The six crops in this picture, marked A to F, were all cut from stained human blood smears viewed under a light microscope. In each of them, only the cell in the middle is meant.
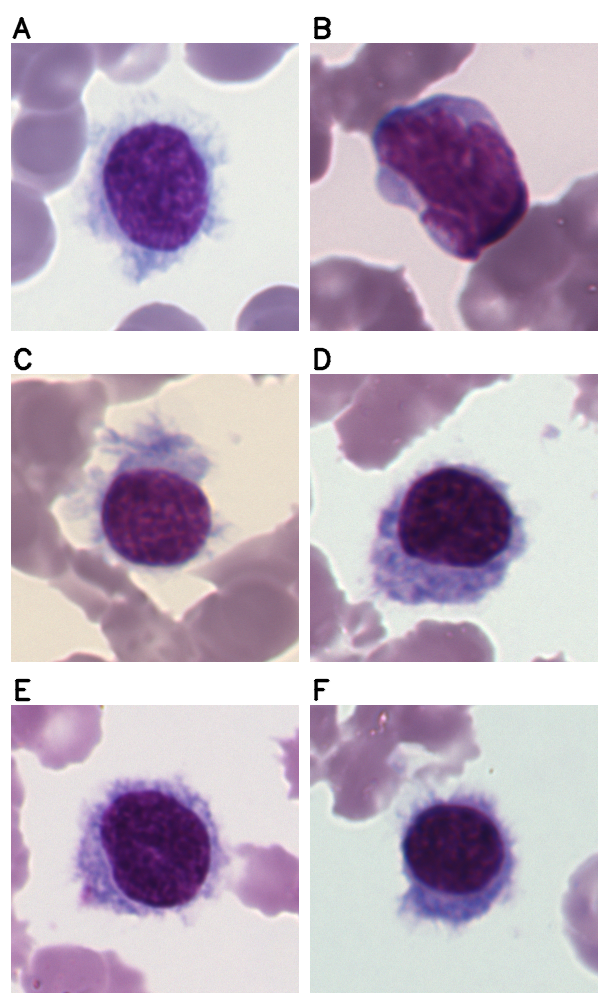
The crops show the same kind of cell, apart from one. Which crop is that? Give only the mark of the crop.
B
